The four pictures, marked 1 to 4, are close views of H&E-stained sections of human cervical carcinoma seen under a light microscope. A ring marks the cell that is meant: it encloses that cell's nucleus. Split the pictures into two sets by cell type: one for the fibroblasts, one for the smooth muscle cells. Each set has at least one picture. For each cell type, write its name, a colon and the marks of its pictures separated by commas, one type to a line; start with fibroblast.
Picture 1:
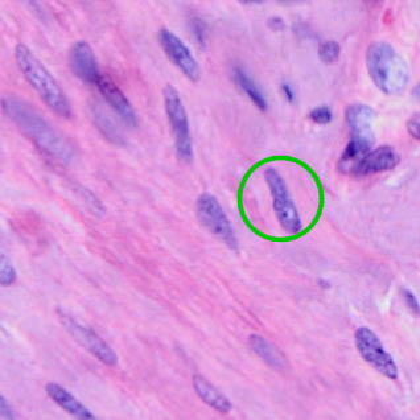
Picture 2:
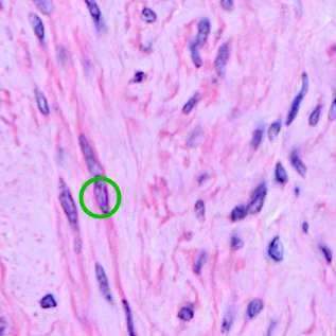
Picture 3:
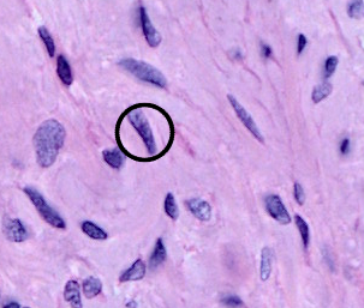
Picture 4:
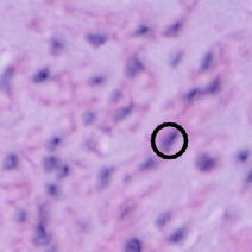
fibroblast: 1, 3
smooth muscle cell: 2, 4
